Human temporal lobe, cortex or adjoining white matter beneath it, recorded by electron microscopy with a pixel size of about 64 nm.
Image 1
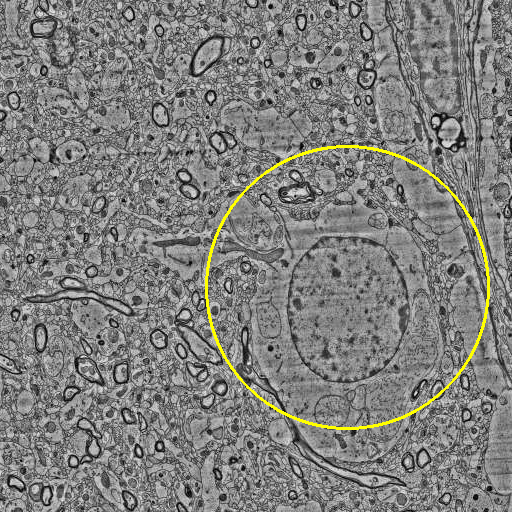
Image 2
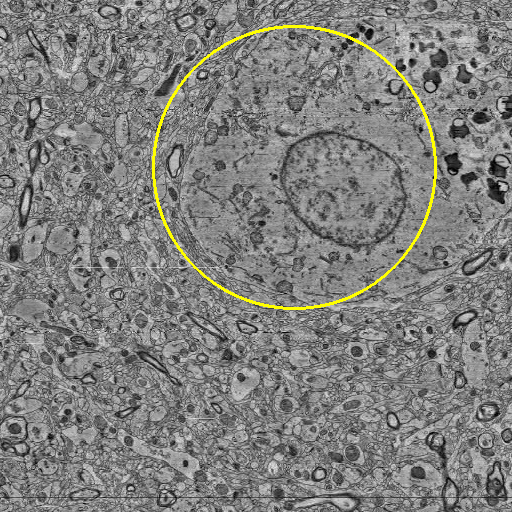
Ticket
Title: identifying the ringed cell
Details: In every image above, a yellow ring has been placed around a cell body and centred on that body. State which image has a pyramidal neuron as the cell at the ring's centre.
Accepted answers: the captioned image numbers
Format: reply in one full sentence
The ring in image 2 is centred on the cell in question.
